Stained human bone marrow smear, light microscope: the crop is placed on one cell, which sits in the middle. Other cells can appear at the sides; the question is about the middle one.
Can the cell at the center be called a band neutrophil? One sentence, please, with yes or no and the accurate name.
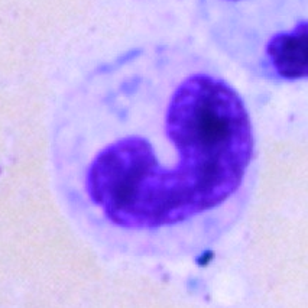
Yes, the cell here in the middle is a band neutrophil.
